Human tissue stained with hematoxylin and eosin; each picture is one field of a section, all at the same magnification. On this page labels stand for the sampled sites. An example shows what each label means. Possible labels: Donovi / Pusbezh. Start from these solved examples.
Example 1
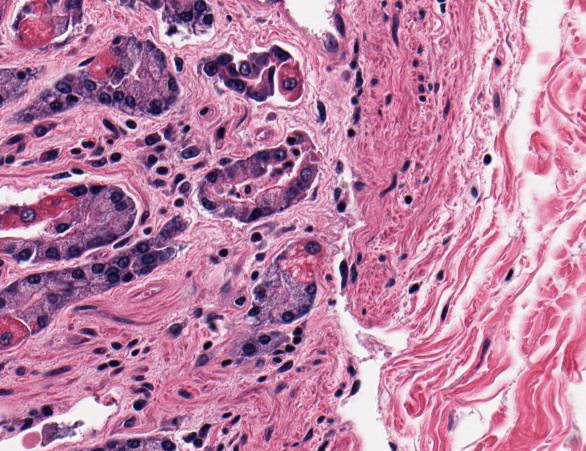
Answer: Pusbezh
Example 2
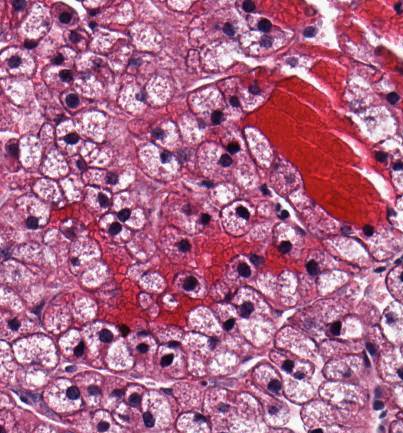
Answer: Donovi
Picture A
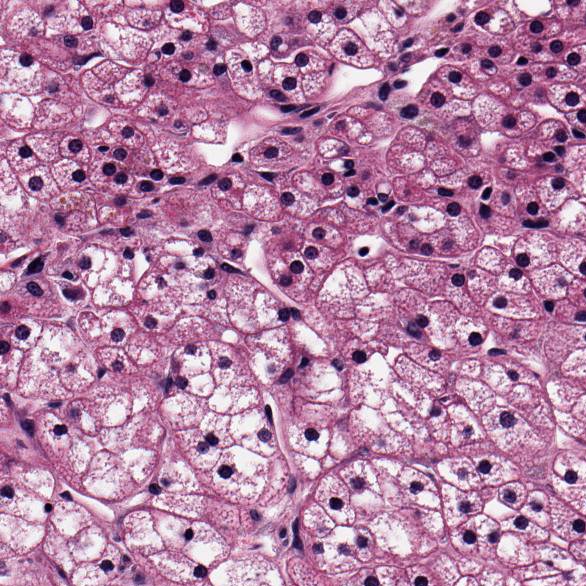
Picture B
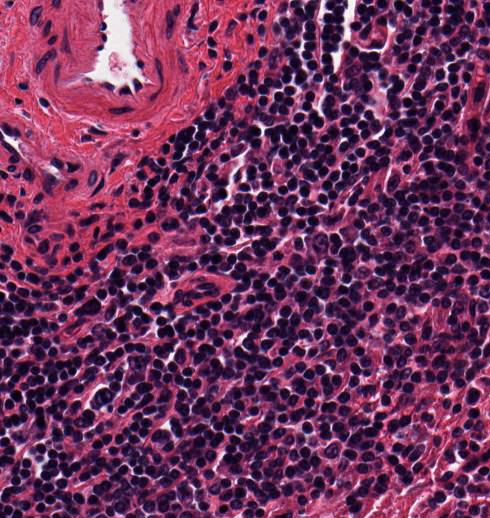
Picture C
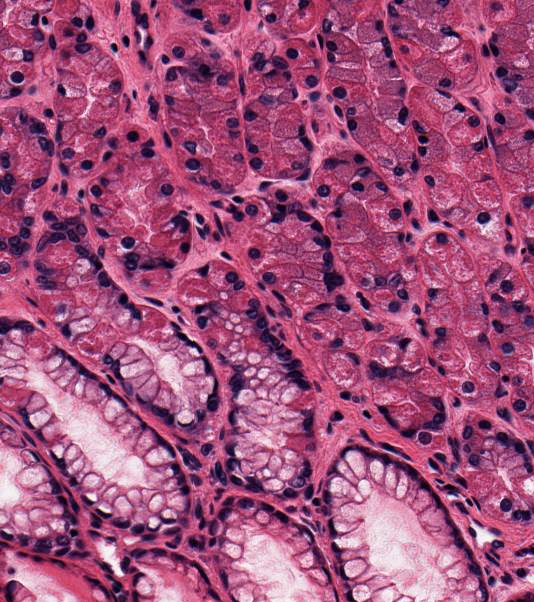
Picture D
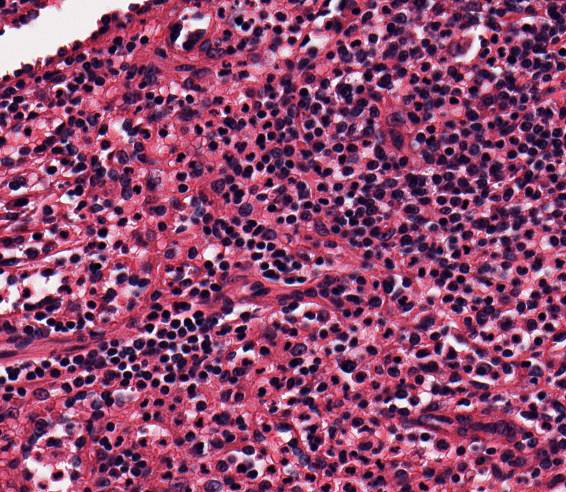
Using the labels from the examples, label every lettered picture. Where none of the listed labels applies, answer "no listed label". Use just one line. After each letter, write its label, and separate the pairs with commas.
A Donovi, B no listed label, C Pusbezh, D no listed label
